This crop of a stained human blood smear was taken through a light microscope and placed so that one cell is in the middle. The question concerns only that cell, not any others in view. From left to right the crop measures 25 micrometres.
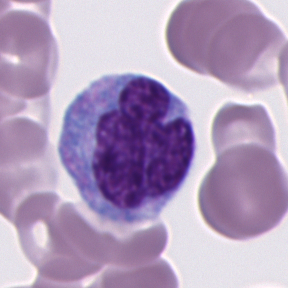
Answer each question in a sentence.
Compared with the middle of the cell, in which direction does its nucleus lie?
It is shifted toward the right of the cell.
